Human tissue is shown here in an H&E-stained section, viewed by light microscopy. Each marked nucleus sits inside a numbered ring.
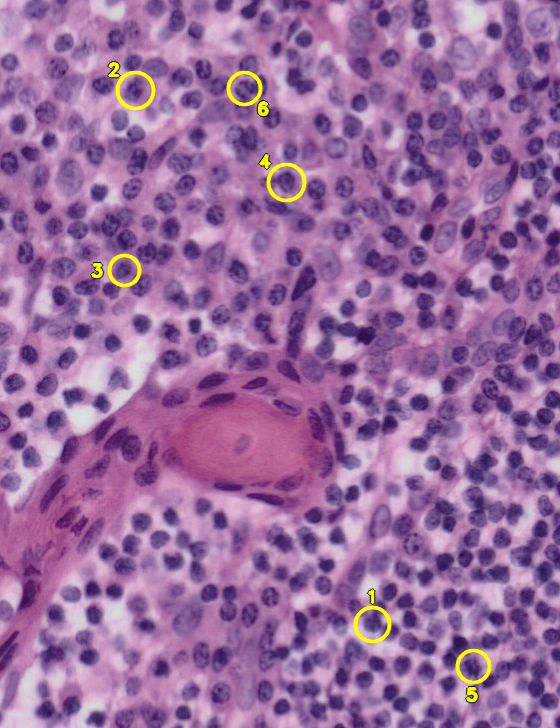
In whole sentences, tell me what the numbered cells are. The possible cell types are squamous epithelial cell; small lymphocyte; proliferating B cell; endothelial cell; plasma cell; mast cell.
Cells 1 and 5 are small lymphocytes. Cells 2, 3, 4 and 6 are plasma cells.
